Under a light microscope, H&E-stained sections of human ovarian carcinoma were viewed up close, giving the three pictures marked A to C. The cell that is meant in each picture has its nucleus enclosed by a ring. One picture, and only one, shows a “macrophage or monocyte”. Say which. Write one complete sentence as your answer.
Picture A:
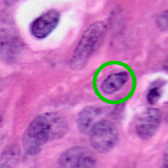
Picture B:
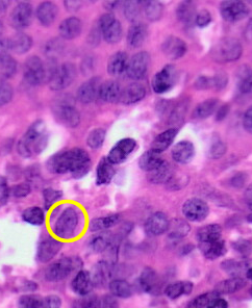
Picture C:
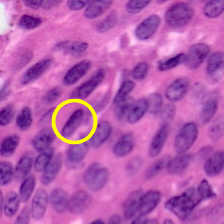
Picture A is the one that shows the “macrophage or monocyte”.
